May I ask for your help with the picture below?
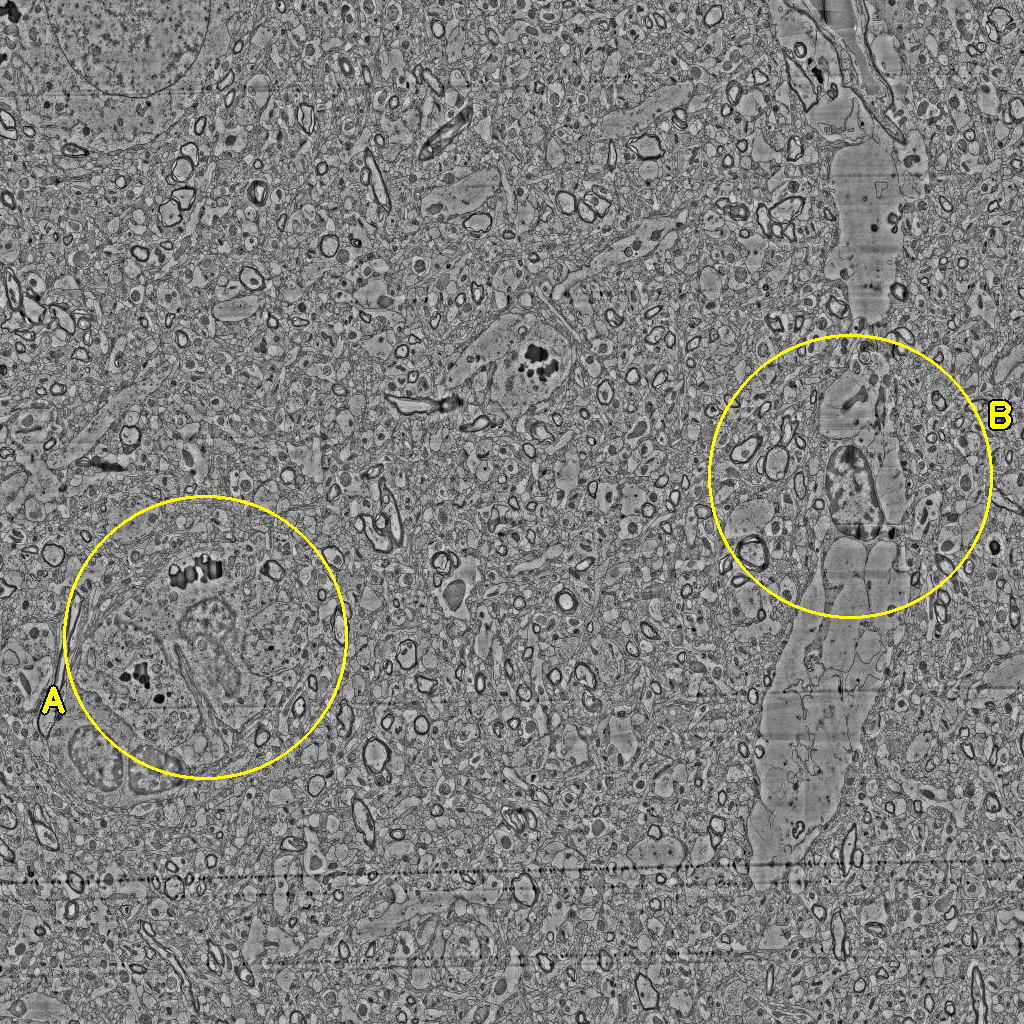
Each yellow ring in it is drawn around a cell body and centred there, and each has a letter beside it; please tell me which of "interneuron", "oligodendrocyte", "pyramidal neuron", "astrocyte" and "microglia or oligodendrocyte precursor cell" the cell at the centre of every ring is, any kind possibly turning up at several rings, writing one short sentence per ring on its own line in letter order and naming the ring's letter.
Ring A is drawn around the cell body of an interneuron.
Ring B is drawn around the cell body of a microglial cell or oligodendrocyte precursor cell.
